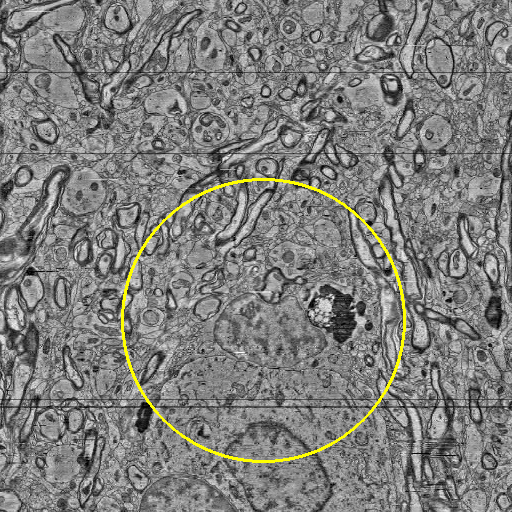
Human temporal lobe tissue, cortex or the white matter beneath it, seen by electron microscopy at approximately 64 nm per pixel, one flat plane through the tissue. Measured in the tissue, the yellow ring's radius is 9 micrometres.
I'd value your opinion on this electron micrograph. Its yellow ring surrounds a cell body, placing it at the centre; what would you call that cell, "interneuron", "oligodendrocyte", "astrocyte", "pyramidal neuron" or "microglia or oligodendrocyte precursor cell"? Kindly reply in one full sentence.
It is an oligodendrocyte that sits centred within the yellow ring in this micrograph.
